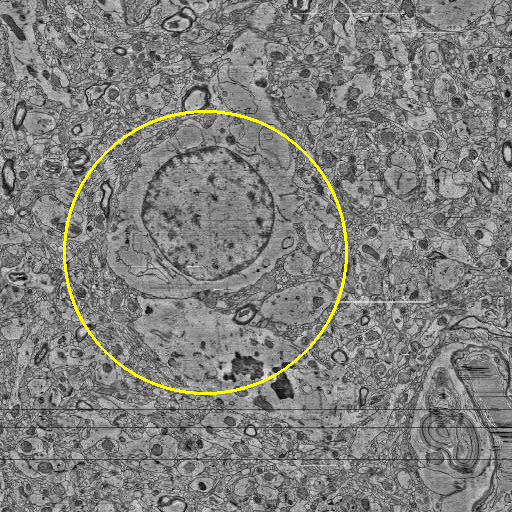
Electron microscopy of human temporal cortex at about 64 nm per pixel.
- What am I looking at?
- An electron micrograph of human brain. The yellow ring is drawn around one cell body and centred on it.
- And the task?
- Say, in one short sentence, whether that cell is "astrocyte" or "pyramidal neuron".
The cell in the middle of the ring is an astrocyte.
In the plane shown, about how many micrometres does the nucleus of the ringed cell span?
Approximately 9 micrometres across in this plane.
